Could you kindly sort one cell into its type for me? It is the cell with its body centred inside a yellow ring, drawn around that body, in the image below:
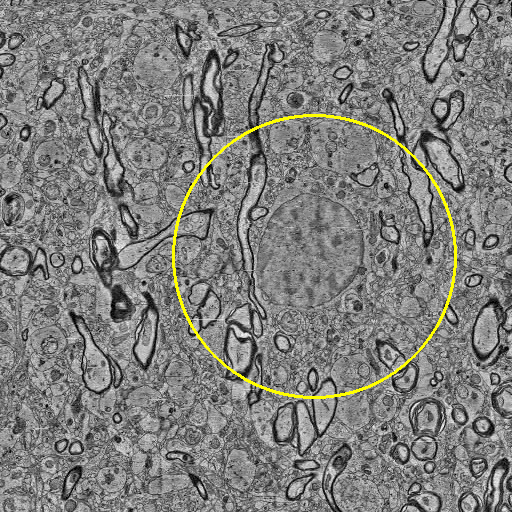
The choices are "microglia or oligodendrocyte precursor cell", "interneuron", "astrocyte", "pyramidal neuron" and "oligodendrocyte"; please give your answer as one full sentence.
The cell whose body lies centred in the yellow ring here is an oligodendrocyte.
